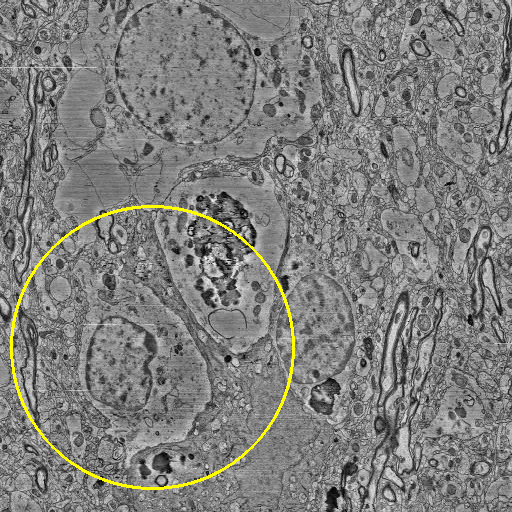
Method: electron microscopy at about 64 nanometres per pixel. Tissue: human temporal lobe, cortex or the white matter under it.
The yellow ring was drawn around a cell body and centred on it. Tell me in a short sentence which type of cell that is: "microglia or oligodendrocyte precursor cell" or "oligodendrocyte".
The cell at the ring's centre is a microglial cell or oligodendrocyte precursor cell.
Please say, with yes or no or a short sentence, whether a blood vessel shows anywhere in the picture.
Yes, the image shows a blood vessel.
